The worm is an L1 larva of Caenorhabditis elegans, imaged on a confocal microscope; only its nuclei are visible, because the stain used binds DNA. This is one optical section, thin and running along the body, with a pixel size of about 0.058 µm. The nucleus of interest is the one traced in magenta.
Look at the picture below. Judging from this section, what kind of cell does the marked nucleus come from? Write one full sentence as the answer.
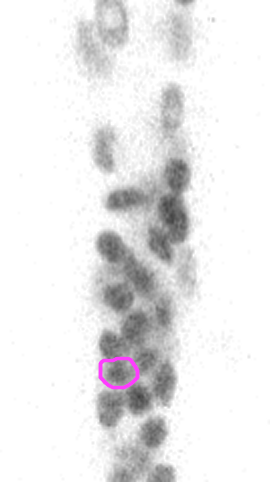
The marked cell is a neuron.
